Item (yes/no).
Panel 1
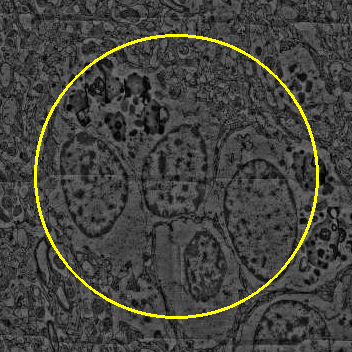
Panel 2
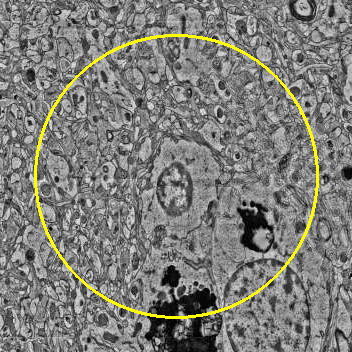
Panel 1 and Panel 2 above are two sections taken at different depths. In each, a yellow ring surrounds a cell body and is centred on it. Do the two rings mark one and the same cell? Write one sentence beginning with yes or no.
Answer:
No, the two rings are drawn around two distinct cells.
